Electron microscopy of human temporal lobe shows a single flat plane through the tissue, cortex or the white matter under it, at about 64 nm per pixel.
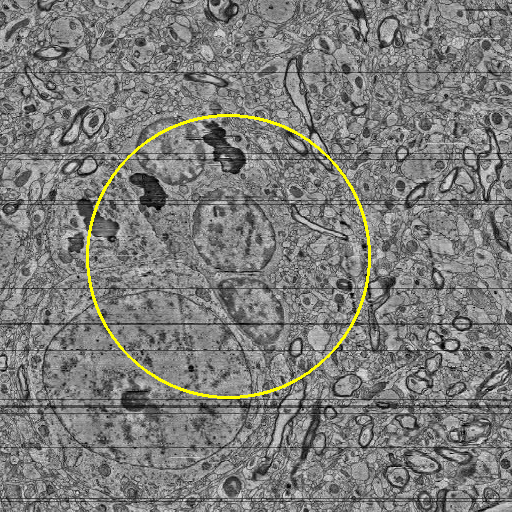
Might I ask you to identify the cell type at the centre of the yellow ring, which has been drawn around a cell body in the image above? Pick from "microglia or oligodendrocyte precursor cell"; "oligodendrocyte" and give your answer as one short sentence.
The centre of the ring falls on an oligodendrocyte.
